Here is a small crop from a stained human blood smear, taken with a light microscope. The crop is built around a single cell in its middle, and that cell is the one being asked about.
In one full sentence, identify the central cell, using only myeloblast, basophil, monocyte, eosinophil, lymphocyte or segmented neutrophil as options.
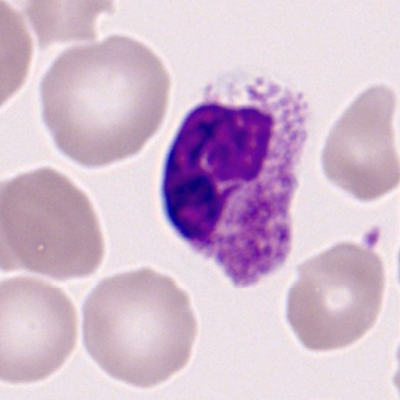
In the centre of this crop there is a basophil.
